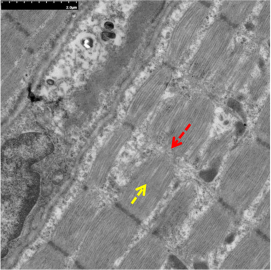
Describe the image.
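Skeletal muscle myofibrils in longitudinal section with a less orderly sarcomere pattern. Z-lines are irregular and in places interrupted, marked by a dashed arrow. Spaces between myofibrils are widened and pale, with scattered vesicles and dark granules. The banding of the filaments is less distinct than in an ordered fibre.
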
